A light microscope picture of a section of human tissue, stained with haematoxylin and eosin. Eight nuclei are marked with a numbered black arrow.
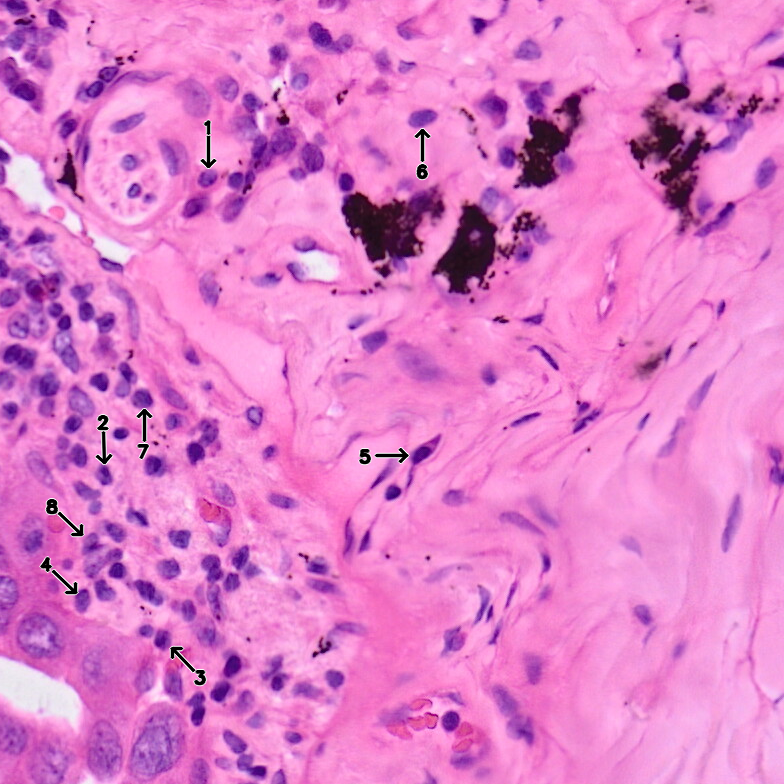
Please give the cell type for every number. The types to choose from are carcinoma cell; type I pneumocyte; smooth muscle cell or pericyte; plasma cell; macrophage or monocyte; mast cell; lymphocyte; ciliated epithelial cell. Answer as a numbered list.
1. mast cell
2. lymphocyte
3. lymphocyte
4. lymphocyte
5. plasma cell
6. mast cell
7. lymphocyte
8. lymphocyte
